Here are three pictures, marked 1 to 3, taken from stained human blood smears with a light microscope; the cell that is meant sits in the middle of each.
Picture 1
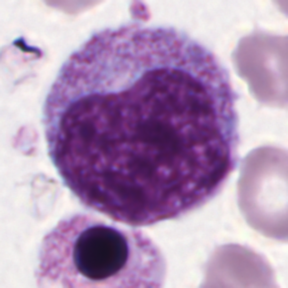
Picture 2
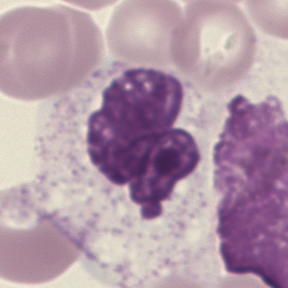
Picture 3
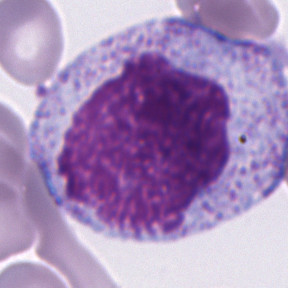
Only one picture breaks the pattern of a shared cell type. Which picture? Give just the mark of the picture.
2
